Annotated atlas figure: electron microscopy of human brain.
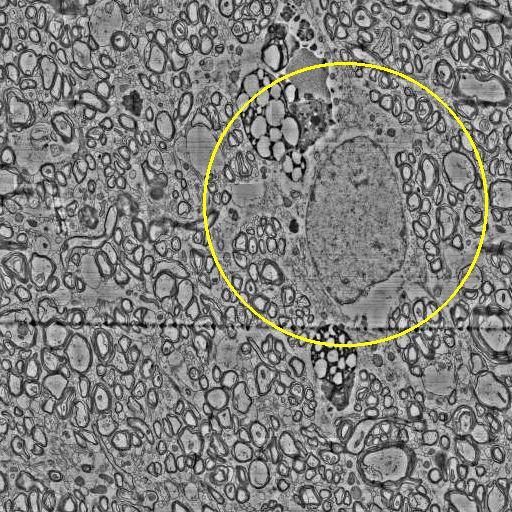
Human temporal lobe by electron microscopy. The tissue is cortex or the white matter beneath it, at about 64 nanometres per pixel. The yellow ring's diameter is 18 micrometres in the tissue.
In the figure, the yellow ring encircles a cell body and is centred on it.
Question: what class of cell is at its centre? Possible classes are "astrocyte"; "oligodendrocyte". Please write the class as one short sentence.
The yellow ring is drawn around an astrocyte.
